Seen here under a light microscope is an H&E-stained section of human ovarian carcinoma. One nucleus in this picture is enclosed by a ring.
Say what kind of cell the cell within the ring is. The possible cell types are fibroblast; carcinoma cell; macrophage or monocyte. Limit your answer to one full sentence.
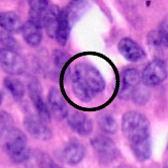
So far as cell type goes, the cell within the ring is a carcinoma cell.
